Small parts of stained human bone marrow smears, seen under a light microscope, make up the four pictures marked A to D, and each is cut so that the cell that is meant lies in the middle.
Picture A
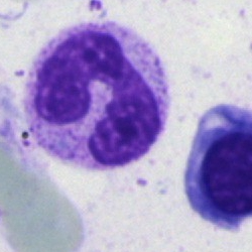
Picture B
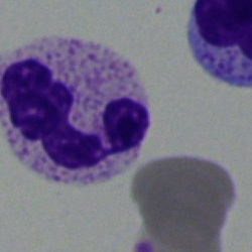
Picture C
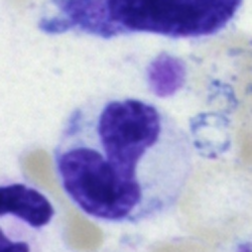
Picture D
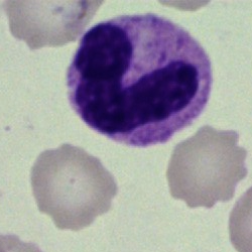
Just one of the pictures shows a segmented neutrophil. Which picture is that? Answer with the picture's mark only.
B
